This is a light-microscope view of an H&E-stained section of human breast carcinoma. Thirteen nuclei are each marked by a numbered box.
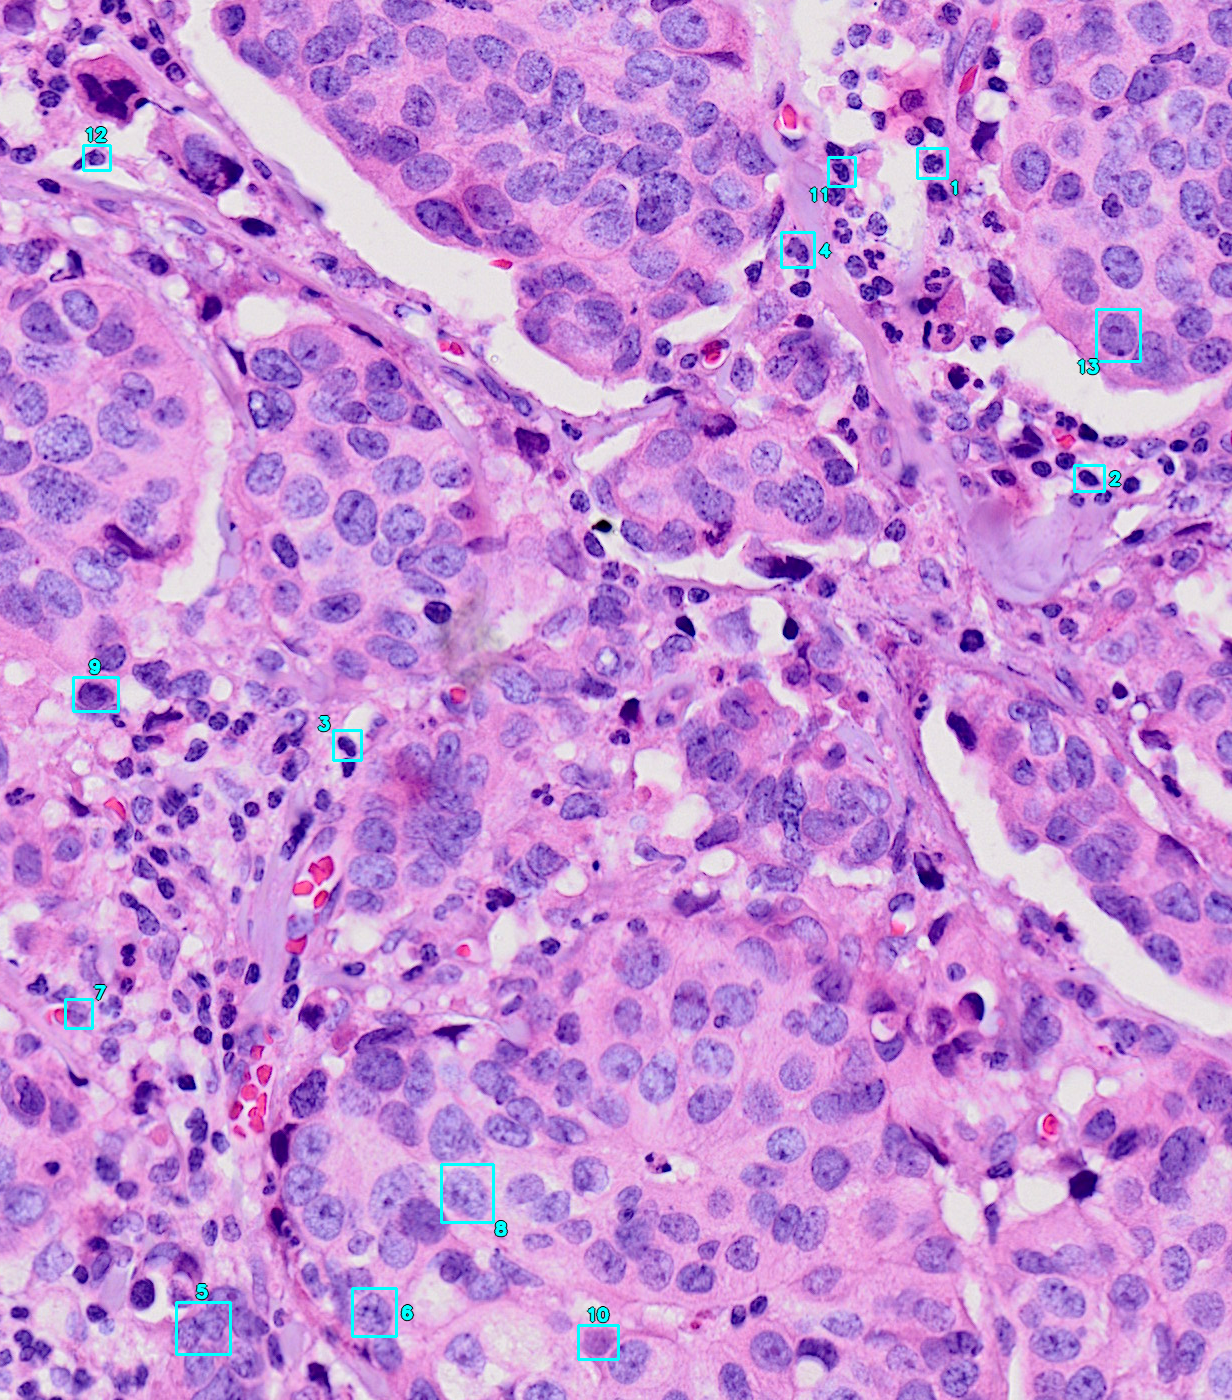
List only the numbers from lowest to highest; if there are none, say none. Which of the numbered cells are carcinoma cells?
5, 6, 8, 9, 10, 13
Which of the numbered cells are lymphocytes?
1, 2, 3, 4, 11, 12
